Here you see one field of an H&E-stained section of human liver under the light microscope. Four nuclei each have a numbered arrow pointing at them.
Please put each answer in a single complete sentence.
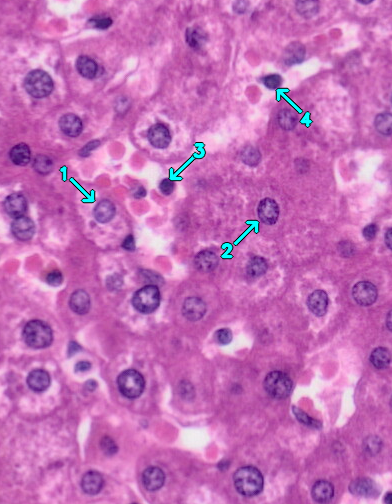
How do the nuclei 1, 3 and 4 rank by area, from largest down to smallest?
By area, largest first, they run 1, 4, 3.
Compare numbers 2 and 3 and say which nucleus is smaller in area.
It is nucleus 3; nucleus 2 has about 2 times its area.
